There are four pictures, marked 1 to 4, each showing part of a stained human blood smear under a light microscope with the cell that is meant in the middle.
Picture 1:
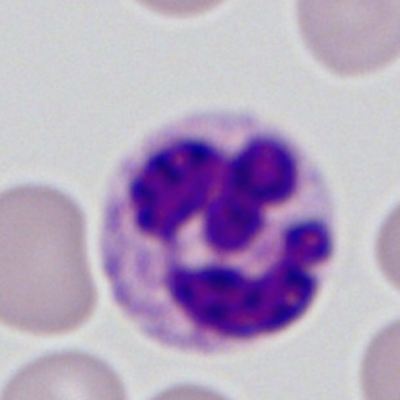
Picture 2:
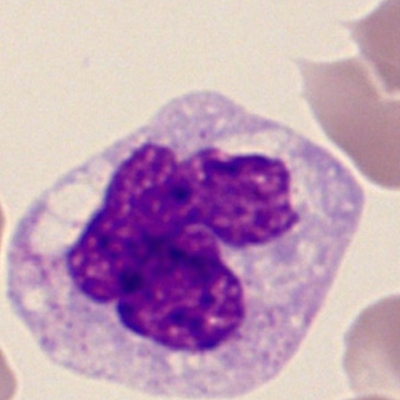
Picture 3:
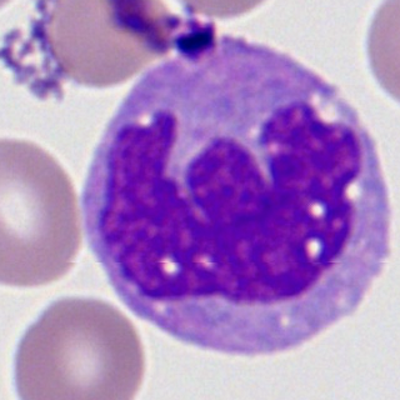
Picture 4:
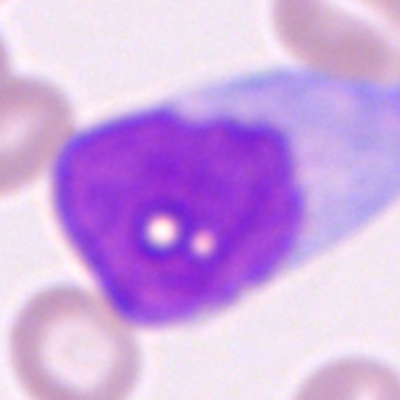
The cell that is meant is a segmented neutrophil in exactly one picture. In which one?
1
